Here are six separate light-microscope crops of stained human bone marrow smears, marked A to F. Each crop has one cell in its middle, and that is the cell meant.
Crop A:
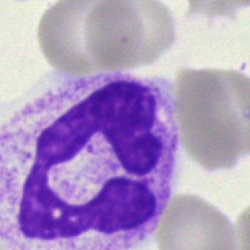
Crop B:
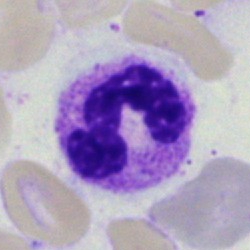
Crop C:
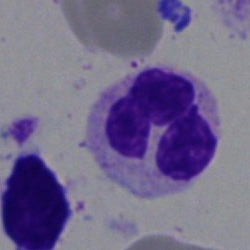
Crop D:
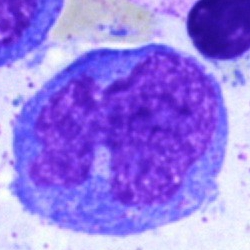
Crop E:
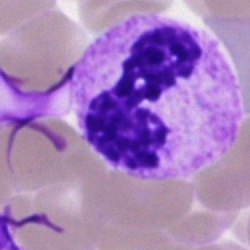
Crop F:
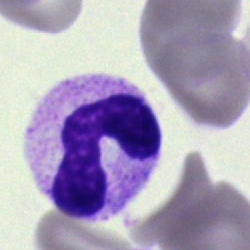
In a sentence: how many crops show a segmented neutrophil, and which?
Here is the count: four crops show segmented neutrophils, namely A, B, C and E.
